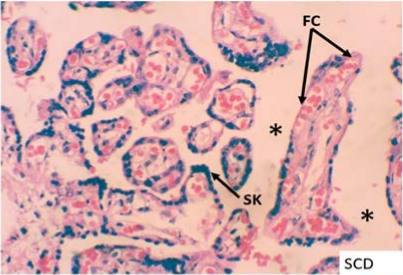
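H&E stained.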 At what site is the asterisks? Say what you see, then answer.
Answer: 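Intervillous spaces. The asterisks lie in pale, cell-poor areas between villi. The villi around them are covered by a layer with dark nuclei.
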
